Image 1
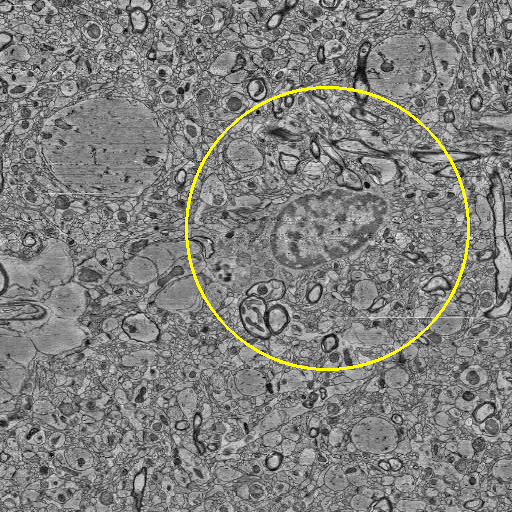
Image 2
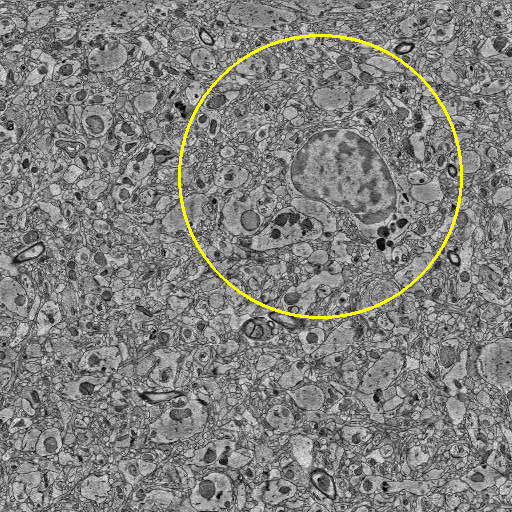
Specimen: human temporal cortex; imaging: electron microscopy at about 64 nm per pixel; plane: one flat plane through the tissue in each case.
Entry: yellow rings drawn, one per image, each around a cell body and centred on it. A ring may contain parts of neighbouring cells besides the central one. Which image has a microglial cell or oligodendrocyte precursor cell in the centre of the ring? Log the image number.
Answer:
2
